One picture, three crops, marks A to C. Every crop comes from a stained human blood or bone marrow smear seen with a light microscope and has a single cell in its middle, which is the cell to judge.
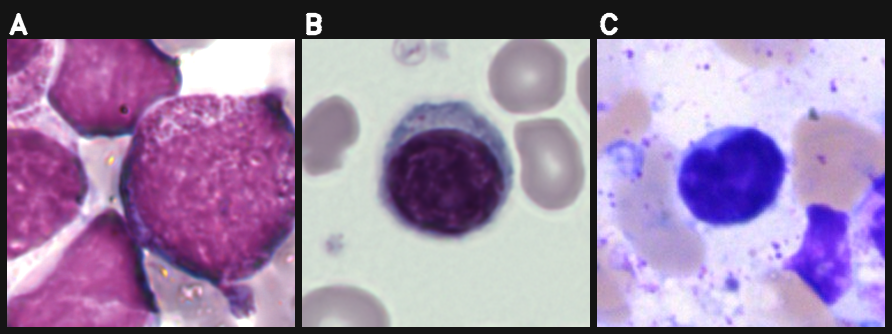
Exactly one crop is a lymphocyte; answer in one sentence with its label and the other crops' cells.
In crop C the cell shown is a lymphocyte, and crop A is a promyelocyte and crop B is a plasma cell.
